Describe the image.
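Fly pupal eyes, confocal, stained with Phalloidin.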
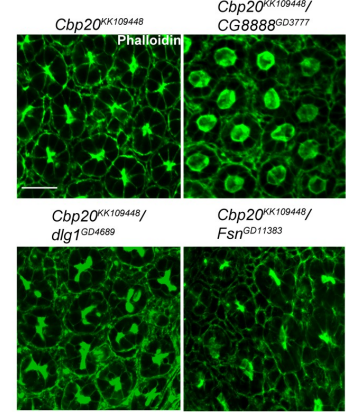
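Thin green lines outline the surrounding cells between ommatidia. In one of the four images the central clusters look like rounded rings rather than distinct spokes. In another the clusters are fainter and less regularly spaced. These differences point to a disturbed number and arrangement of photoreceptors.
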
